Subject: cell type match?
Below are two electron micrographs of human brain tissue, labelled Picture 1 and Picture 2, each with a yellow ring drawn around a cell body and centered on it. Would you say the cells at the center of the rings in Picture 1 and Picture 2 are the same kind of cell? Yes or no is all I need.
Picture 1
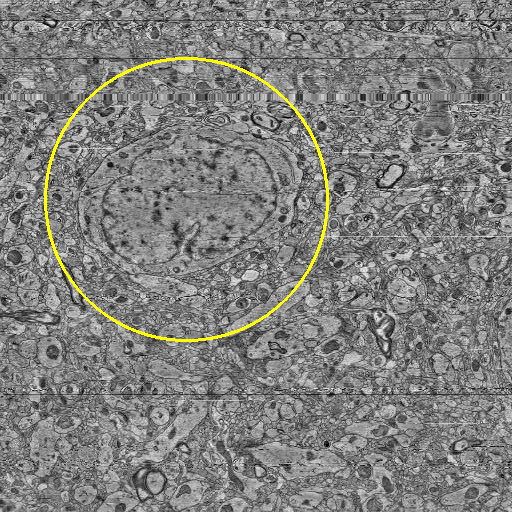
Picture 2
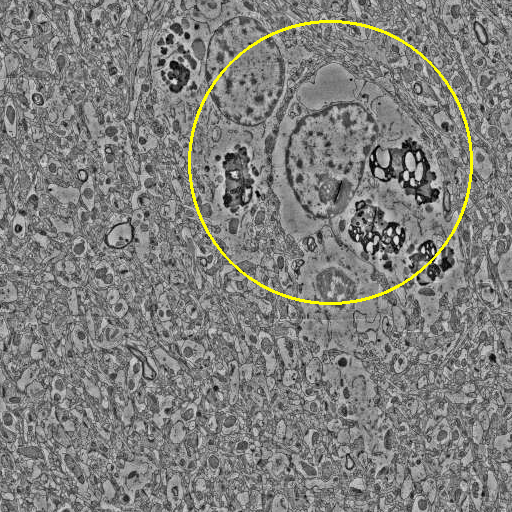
no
